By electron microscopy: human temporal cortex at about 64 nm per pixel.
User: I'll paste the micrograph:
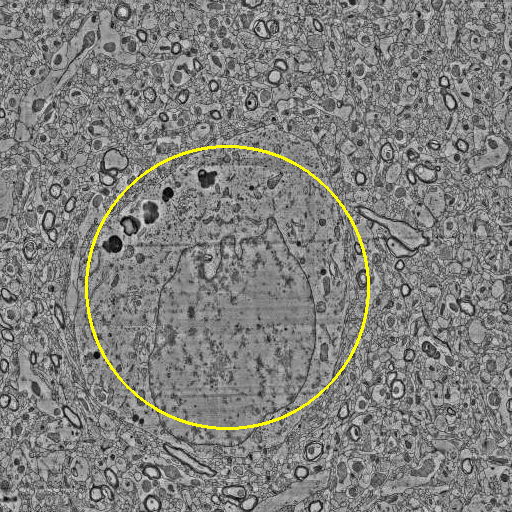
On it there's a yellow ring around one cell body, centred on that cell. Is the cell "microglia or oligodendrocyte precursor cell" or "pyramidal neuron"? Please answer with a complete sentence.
The cell ringed in yellow is a pyramidal neuron.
